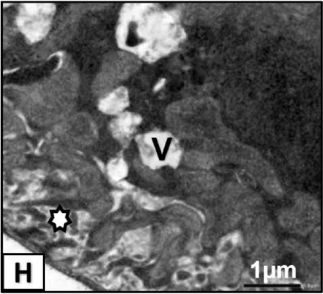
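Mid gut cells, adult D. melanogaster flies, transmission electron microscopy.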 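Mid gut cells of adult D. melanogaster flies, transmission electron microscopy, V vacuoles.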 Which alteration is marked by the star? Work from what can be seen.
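At the star, the lower left of the field is a mass of wavy, looped membrane profiles. Large pale vacuoles lie in the cytoplasm nearby.
Abnormal folding of basement membrane.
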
